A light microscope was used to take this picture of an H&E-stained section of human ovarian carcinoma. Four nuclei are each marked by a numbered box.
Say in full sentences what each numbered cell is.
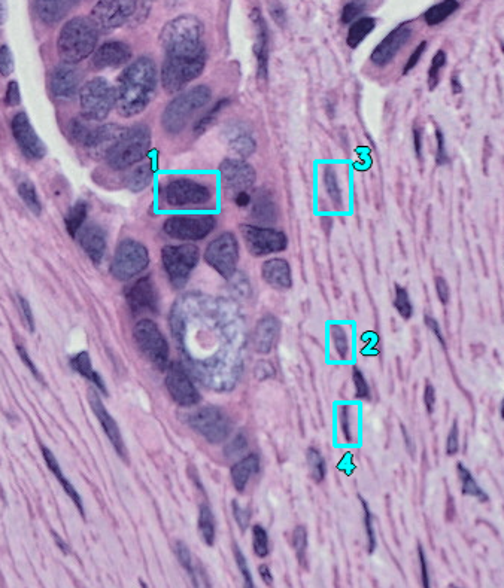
Cell 1 is a carcinoma cell. Cells 2, 3 and 4 are fibroblasts.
